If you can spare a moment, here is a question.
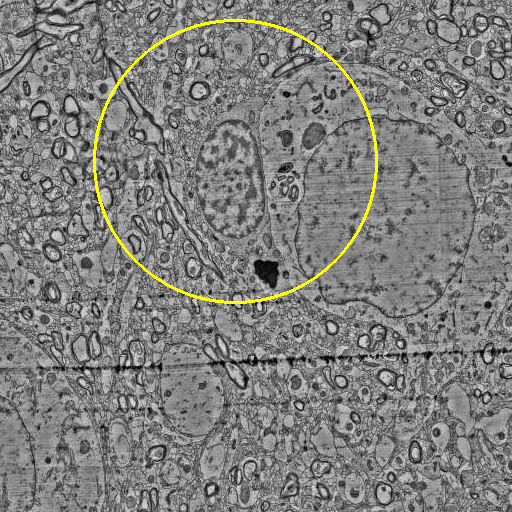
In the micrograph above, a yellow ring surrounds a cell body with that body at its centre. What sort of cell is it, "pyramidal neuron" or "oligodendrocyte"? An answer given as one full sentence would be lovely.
Centred inside the yellow ring, the cell body shown belongs to an oligodendrocyte in this micrograph.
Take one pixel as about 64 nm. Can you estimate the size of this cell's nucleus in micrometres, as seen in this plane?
Roughly 7 micrometres by 5 micrometres, in this plane.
